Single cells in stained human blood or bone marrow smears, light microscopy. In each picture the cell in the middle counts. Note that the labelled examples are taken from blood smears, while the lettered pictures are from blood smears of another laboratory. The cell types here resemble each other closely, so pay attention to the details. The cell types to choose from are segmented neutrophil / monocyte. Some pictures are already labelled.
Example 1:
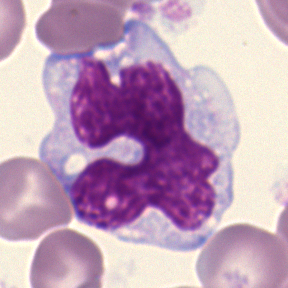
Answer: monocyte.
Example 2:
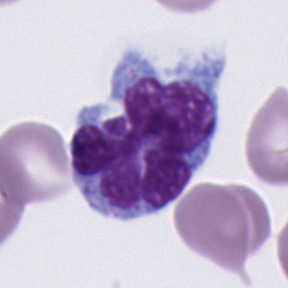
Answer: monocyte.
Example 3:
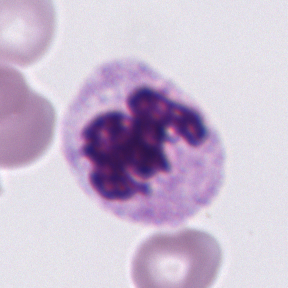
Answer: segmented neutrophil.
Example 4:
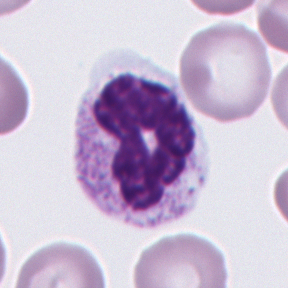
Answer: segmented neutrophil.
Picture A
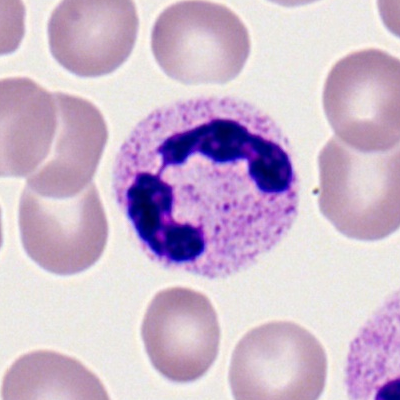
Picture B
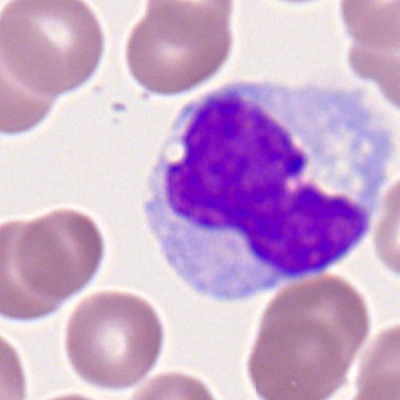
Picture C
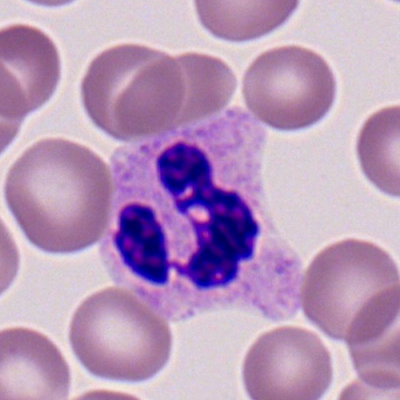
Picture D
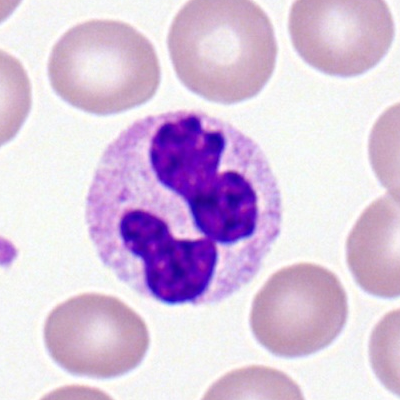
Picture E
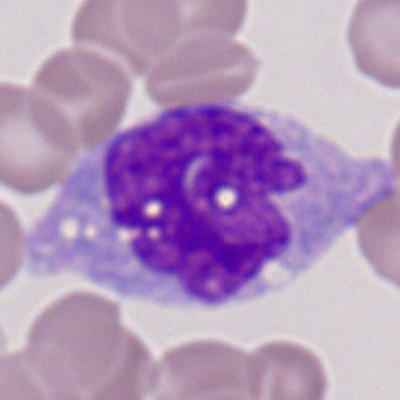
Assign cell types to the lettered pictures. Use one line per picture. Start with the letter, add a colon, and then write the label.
A: segmented neutrophil.
B: monocyte.
C: segmented neutrophil.
D: segmented neutrophil.
E: monocyte.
